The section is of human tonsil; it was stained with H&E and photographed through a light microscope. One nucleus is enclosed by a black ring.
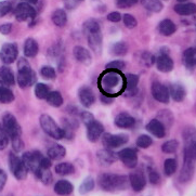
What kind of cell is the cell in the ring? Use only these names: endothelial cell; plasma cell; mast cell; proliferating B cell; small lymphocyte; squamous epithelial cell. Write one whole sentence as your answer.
Recorded by type, the cell in the ring is a small lymphocyte.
